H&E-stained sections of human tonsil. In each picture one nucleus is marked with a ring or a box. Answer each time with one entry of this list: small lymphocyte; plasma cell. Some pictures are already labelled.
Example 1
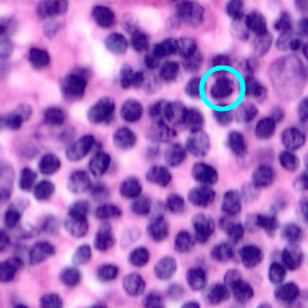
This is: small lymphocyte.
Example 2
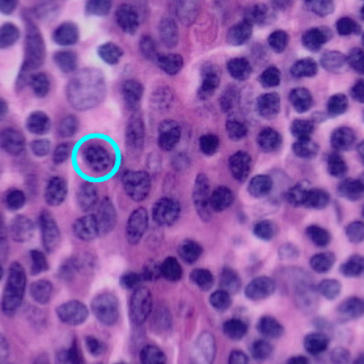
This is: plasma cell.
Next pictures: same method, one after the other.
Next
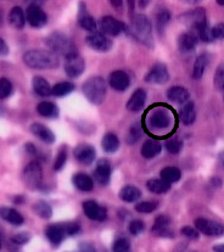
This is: plasma cell.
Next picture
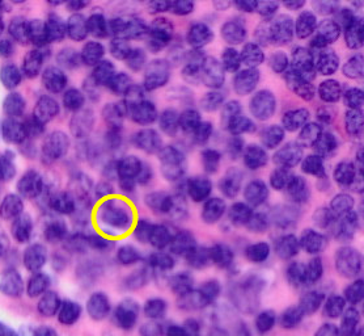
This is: small lymphocyte.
